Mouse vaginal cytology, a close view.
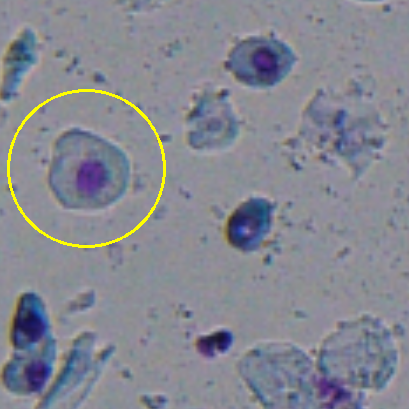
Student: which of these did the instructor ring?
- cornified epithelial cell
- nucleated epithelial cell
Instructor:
The cell I ringed is a nucleated epithelial cell.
